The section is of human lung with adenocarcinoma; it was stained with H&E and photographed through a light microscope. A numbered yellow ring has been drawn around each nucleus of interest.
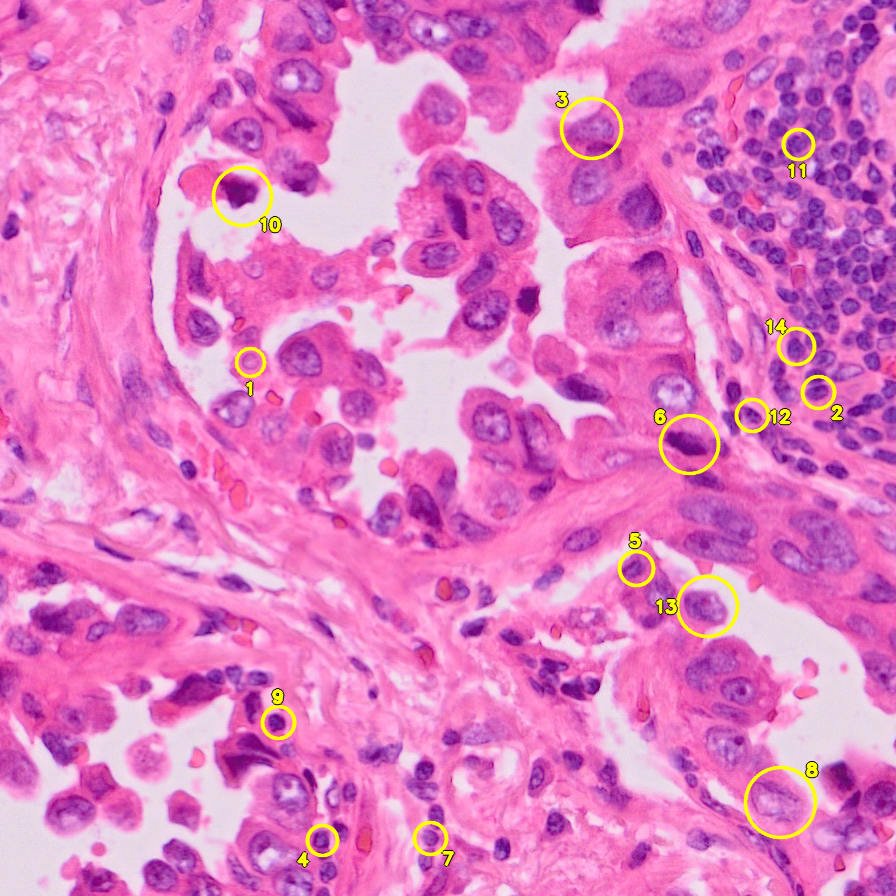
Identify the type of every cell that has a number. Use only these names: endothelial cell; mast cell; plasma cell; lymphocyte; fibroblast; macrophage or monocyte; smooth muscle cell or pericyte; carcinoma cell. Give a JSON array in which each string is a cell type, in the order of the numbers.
["macrophage or monocyte", "lymphocyte", "carcinoma cell", "lymphocyte", "carcinoma cell", "carcinoma cell", "lymphocyte", "carcinoma cell", "lymphocyte", "carcinoma cell", "lymphocyte", "lymphocyte", "carcinoma cell", "lymphocyte"]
